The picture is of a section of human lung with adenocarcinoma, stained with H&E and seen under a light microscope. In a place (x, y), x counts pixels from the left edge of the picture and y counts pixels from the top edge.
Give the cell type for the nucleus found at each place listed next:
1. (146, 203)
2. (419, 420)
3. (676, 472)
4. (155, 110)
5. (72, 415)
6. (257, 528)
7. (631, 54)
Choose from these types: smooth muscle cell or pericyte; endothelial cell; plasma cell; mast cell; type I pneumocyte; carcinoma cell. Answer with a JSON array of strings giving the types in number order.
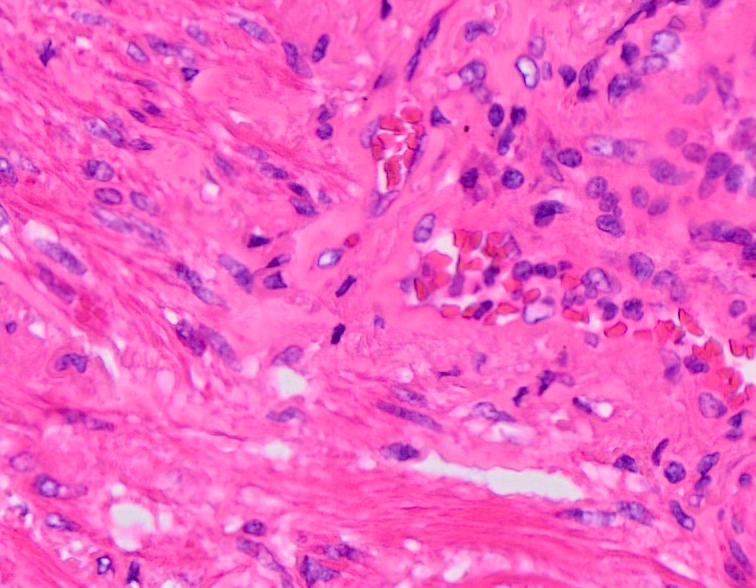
["smooth muscle cell or pericyte", "smooth muscle cell or pericyte", "mast cell", "smooth muscle cell or pericyte", "smooth muscle cell or pericyte", "mast cell", "mast cell"]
